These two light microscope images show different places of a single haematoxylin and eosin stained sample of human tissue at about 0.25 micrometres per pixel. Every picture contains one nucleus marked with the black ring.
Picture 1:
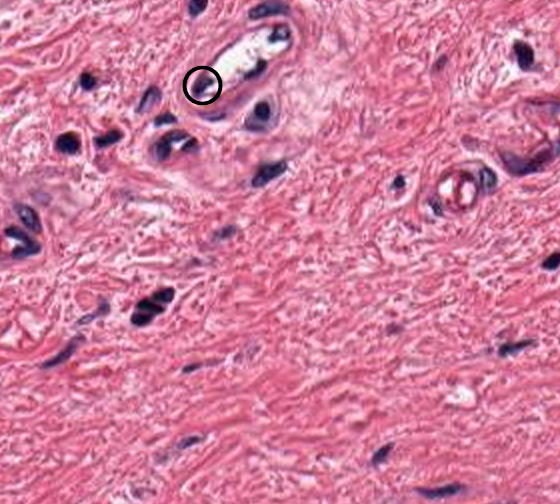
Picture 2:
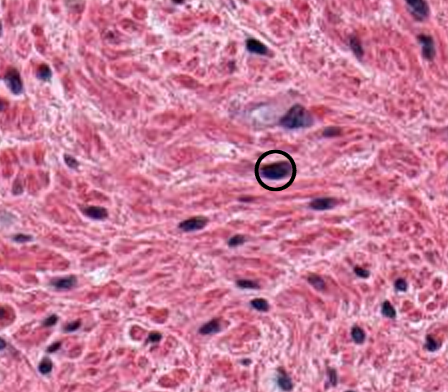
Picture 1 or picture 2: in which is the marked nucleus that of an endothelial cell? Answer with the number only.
1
